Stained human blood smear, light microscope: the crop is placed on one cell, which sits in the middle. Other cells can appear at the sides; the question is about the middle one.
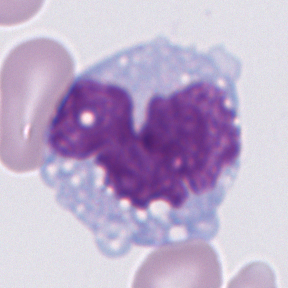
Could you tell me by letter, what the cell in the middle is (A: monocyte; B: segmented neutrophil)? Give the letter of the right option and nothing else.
A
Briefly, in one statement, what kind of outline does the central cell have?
Smoothness is lacking at the edge, which is ragged in places or drawn into projections.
